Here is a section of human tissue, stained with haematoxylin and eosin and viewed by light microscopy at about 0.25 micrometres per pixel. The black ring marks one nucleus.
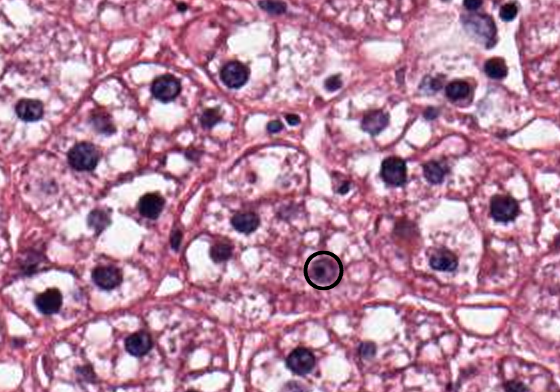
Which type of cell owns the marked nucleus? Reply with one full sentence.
The marked nucleus is a nucleus of an adrenal cortical cell.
